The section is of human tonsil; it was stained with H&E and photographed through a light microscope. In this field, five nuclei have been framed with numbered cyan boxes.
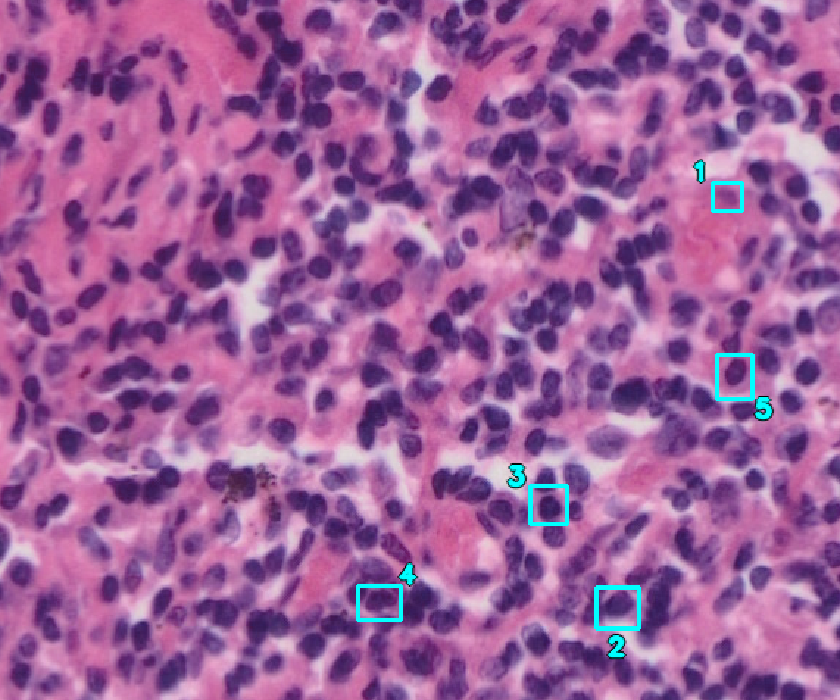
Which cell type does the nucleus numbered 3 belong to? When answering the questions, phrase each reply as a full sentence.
At number 3, the marked cell is a small lymphocyte.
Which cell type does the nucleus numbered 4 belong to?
Number 4 among the marked cells is a small lymphocyte.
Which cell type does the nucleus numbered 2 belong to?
Among the marked nuclei, number 2 belongs to a small lymphocyte.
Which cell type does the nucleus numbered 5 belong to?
The one labeled 5 is a plasma cell, to put it simply.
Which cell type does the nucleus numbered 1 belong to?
The cell that bears the number 1 is an endothelial cell.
